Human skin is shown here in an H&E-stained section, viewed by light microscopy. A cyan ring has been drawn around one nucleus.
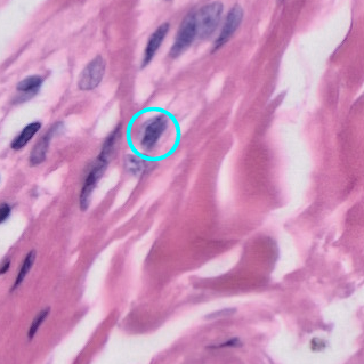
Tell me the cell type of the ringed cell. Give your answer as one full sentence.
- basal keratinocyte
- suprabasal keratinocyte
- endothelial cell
Typologically, the ringed cell is an endothelial cell in this section.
